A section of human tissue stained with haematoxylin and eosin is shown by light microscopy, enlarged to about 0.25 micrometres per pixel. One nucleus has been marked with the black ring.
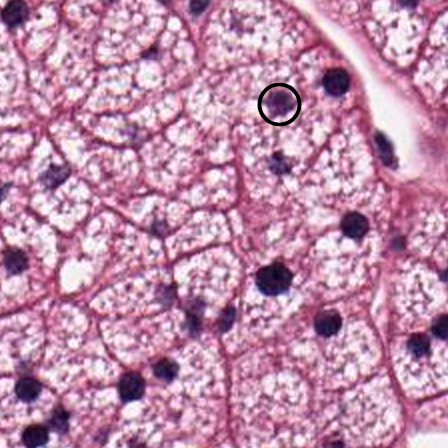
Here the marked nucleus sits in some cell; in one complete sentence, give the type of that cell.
Here the marked nucleus is part of an adrenal cortical cell.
